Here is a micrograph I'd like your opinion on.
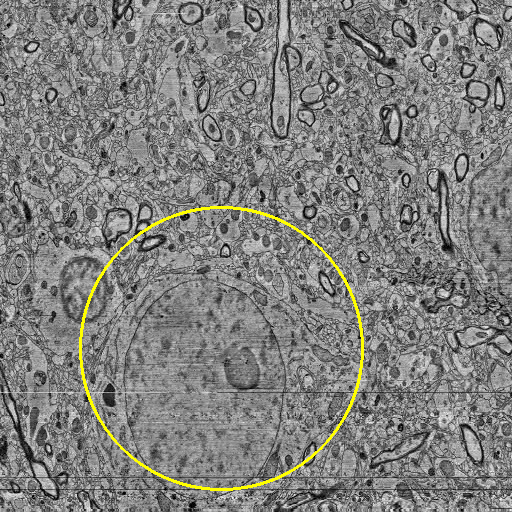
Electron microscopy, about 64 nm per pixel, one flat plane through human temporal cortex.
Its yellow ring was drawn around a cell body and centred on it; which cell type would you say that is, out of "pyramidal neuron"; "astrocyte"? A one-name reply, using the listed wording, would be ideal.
pyramidal neuron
